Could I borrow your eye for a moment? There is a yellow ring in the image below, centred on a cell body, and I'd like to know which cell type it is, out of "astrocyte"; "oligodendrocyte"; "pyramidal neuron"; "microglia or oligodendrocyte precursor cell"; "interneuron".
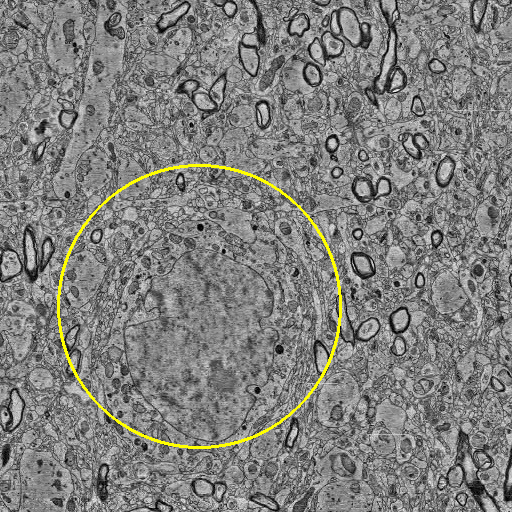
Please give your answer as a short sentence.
The cell body at the centre is that of an interneuron.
